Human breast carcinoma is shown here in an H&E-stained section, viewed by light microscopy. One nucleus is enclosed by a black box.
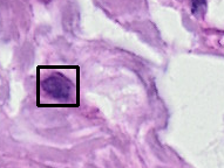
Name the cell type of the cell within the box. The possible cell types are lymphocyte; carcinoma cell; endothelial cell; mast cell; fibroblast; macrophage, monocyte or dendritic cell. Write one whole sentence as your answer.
The cell within the box is a macrophage, monocyte or dendritic cell.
